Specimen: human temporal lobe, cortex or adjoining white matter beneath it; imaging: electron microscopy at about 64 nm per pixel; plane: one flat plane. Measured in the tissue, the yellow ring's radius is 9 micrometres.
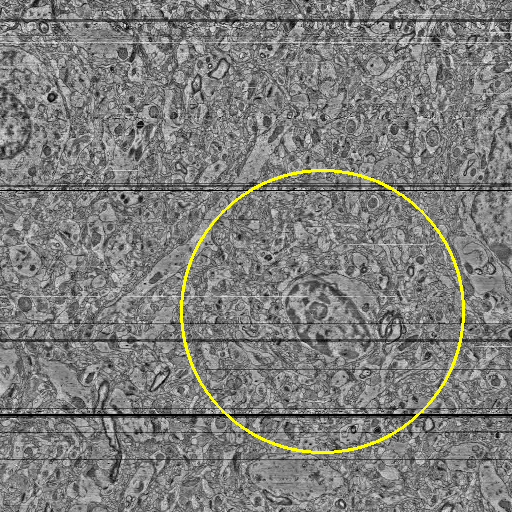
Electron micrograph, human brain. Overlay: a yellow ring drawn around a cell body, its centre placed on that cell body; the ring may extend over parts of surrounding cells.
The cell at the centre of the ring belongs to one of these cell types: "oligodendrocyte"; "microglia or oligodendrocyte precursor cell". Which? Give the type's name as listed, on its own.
microglia or oligodendrocyte precursor cell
